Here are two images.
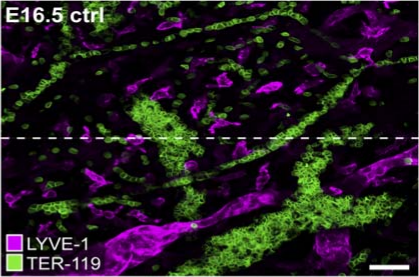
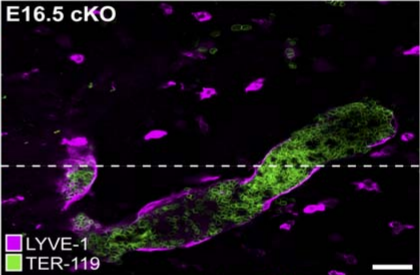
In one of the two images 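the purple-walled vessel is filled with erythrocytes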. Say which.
the second image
